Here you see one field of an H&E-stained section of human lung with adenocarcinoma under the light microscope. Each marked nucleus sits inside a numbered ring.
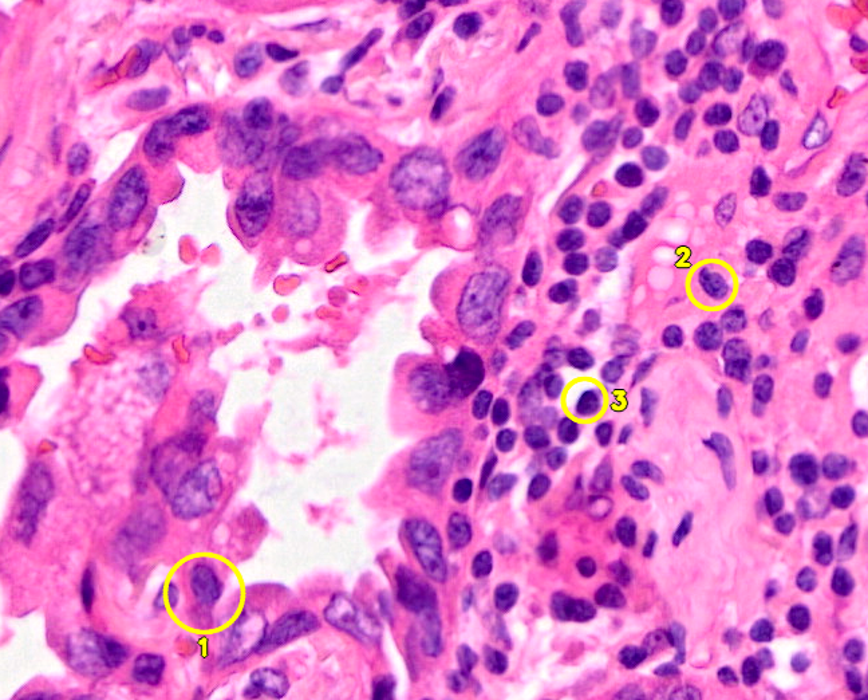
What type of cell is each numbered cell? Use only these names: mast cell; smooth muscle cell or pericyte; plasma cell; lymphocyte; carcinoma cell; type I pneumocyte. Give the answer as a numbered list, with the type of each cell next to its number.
1. carcinoma cell
2. lymphocyte
3. lymphocyte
